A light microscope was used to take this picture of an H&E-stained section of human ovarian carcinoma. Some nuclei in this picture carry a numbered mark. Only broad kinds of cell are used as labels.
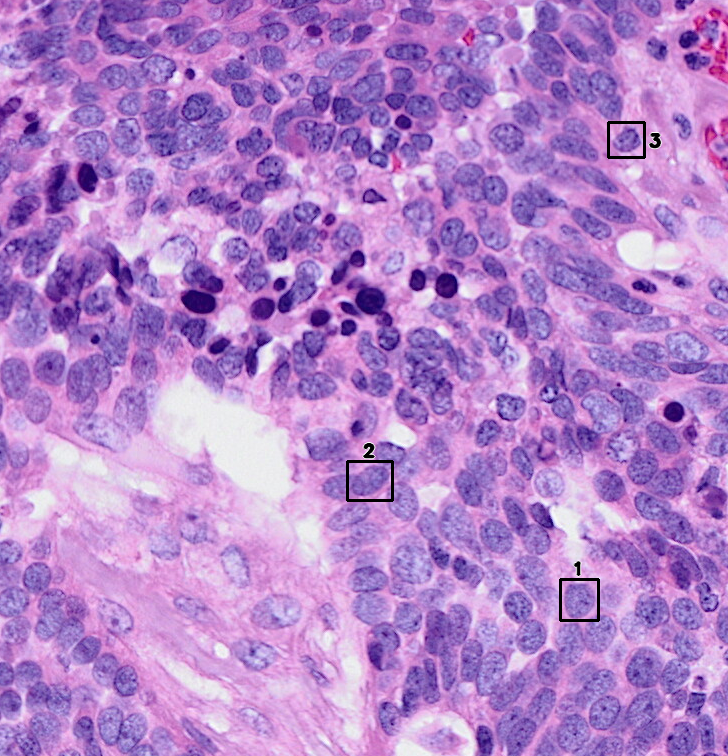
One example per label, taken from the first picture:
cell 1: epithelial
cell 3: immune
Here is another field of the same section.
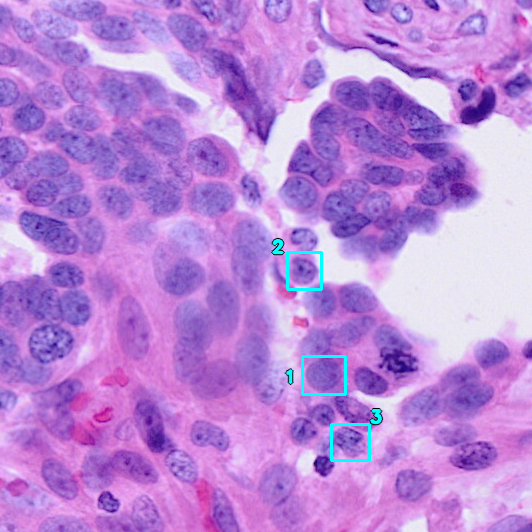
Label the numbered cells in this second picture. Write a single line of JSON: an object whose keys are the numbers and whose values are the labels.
{"1": "epithelial", "2": "immune", "3": "immune"}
